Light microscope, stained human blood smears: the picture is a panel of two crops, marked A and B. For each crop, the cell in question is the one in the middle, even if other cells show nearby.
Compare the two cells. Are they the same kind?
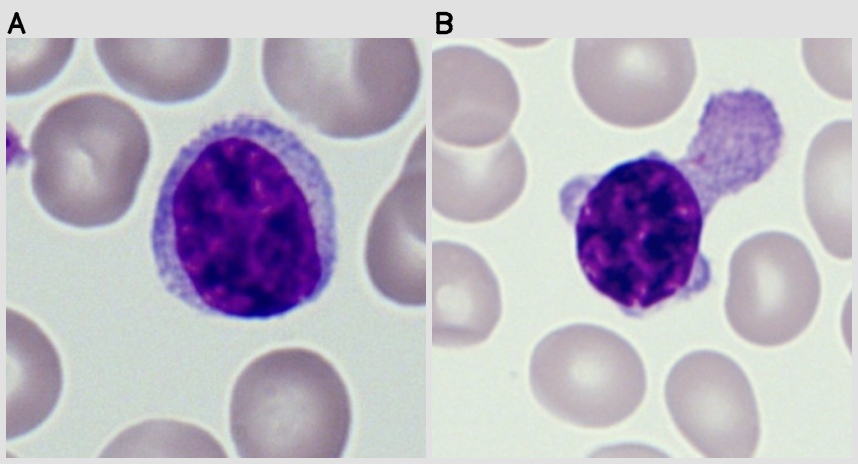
yes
